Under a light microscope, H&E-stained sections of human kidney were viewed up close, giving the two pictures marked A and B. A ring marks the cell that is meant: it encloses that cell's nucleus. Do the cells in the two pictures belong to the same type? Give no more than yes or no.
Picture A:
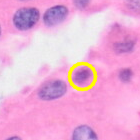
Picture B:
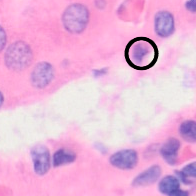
yes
